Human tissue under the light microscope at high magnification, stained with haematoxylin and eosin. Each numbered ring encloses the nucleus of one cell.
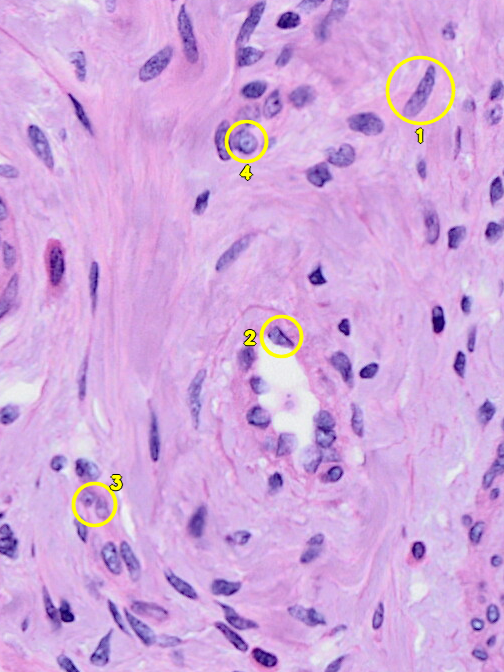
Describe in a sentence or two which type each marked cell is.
Cell 1 is a fibroblast. Cells 2, 3 and 4 are endothelial cells.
